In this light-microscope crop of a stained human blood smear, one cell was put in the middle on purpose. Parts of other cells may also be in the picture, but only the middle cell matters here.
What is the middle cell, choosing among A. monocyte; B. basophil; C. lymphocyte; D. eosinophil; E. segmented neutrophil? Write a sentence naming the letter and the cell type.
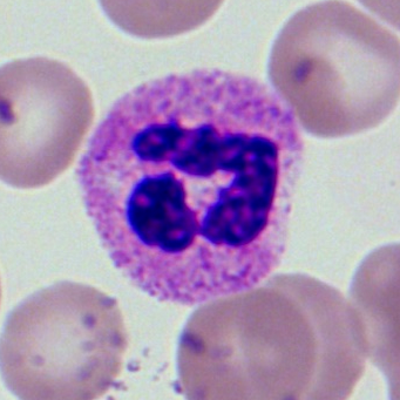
Since the cell in the centre is a segmented neutrophil, the correct option is E.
